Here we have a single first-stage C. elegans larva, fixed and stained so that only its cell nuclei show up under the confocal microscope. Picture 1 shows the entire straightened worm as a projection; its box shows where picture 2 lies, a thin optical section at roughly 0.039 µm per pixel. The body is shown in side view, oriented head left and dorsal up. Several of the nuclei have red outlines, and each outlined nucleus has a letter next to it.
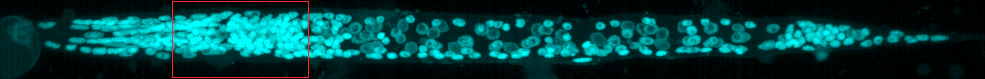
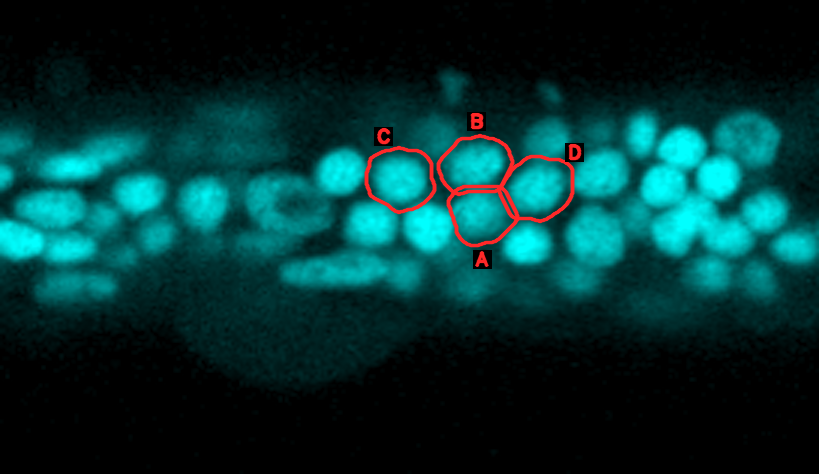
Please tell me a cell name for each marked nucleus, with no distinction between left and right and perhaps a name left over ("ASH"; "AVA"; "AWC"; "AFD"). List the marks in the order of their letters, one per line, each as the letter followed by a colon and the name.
A: AWC
B: AFD
C: AVA
D: ASH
